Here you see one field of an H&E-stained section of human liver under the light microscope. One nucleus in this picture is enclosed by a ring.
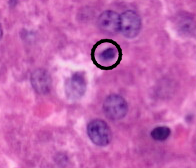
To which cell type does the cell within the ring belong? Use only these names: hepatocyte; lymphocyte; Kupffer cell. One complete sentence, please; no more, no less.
What the cell within the ring represents is a lymphocyte.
